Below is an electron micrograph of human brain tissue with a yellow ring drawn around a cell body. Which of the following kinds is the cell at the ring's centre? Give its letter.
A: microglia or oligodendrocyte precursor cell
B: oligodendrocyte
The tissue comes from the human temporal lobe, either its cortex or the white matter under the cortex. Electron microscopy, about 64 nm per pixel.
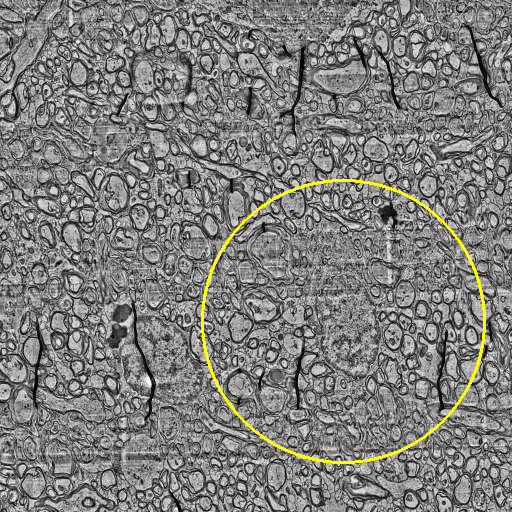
B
